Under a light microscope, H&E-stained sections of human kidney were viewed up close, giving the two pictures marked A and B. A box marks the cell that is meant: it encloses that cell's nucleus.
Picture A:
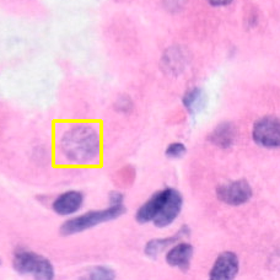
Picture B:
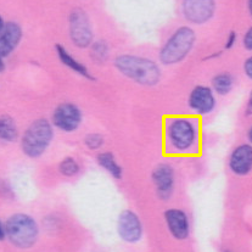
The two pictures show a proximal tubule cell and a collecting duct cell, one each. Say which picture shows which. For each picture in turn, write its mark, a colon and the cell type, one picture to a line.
A: proximal tubule cell
B: collecting duct cell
